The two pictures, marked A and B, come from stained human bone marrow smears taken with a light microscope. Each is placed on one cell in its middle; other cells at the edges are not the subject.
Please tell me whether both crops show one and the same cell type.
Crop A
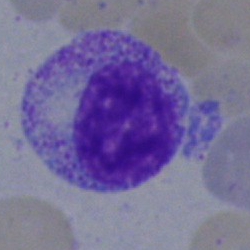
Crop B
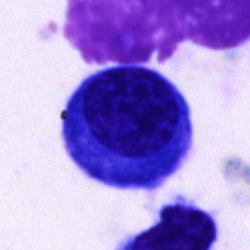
no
